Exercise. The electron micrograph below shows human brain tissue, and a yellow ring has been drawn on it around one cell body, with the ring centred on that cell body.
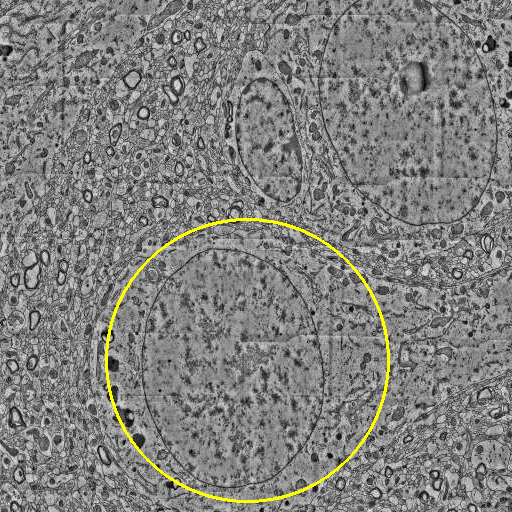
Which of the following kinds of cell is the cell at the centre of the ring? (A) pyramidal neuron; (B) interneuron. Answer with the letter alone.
A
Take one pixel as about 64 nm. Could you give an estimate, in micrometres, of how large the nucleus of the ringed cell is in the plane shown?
About 15 by 12 micrometers, in this plane.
